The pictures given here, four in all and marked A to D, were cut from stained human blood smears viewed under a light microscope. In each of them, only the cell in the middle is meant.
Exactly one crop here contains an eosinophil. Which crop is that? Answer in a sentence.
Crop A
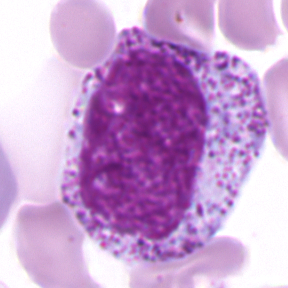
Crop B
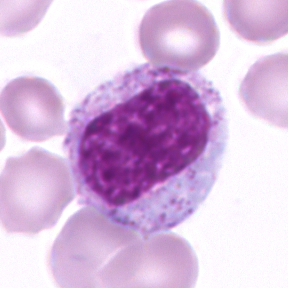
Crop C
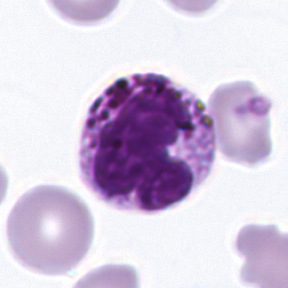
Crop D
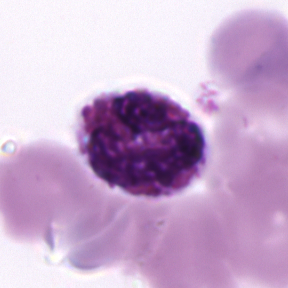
Among the crops, only crop D contains an eosinophil.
